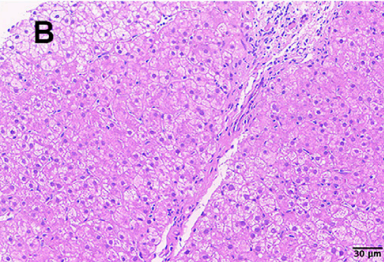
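These are hepatocytes of the liver, large polygonal cells with pale pink, finely granular, lightly stained cytoplasm that gives a ground-glass look. Each cell has a central round nucleus, and many cytoplasms look partly cleared or vacuolated. A thin fibrous septum with elongated nuclei crosses the field diagonally between the sheets of hepatocytes.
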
